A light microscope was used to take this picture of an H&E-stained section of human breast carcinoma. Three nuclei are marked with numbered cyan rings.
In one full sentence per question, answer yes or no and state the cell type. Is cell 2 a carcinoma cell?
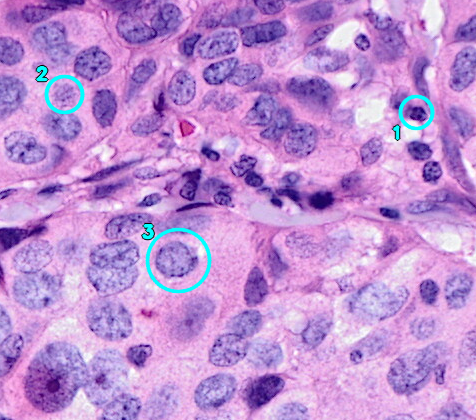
Yes, the cell marked by the number 2 is a carcinoma cell.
